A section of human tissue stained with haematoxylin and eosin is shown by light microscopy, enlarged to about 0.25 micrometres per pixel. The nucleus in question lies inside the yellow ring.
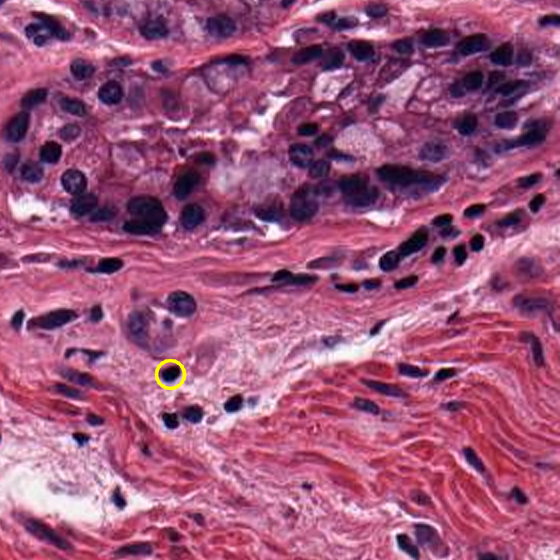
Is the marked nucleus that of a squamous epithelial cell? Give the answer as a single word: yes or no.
no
